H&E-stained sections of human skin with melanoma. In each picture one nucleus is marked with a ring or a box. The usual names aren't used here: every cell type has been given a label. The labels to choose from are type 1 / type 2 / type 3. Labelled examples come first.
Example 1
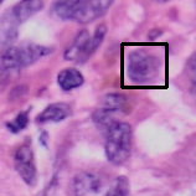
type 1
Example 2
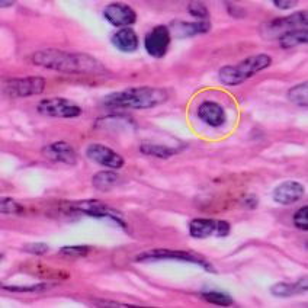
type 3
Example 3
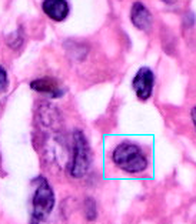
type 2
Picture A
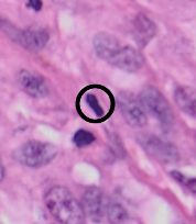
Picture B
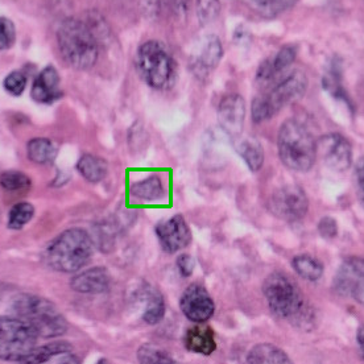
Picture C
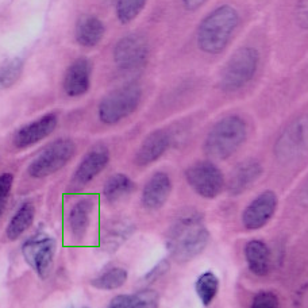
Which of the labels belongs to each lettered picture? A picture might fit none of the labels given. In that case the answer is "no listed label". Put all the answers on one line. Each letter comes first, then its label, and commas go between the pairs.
A type 3, B type 2, C no listed label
